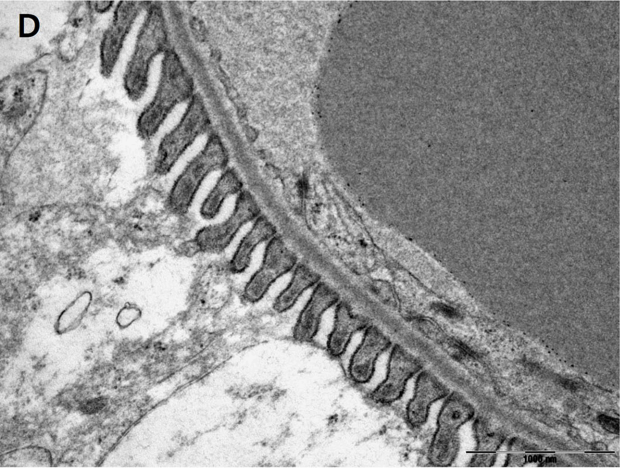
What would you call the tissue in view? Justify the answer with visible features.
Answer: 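A continuous dense basement membrane runs diagonally across the field. A regular row of narrow, evenly spaced processes rests on one side of the membrane. A capillary lumen holding a red blood cell lies on the other side, lined by a thin attenuated cell layer.
Conclusion: Glomerulus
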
